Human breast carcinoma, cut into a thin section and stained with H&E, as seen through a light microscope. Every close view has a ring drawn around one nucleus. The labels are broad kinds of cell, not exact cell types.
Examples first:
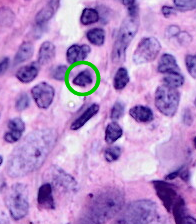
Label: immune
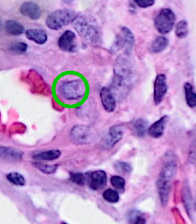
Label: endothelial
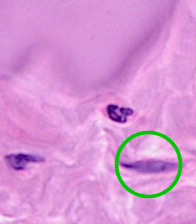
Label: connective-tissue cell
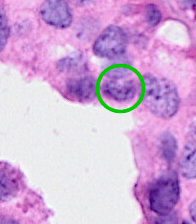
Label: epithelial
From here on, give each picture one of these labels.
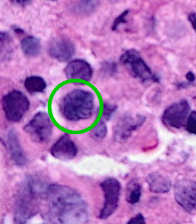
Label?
epithelial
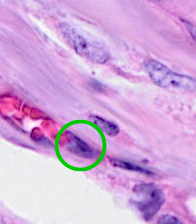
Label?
endothelial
